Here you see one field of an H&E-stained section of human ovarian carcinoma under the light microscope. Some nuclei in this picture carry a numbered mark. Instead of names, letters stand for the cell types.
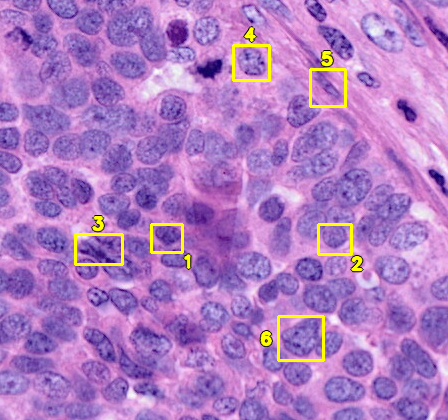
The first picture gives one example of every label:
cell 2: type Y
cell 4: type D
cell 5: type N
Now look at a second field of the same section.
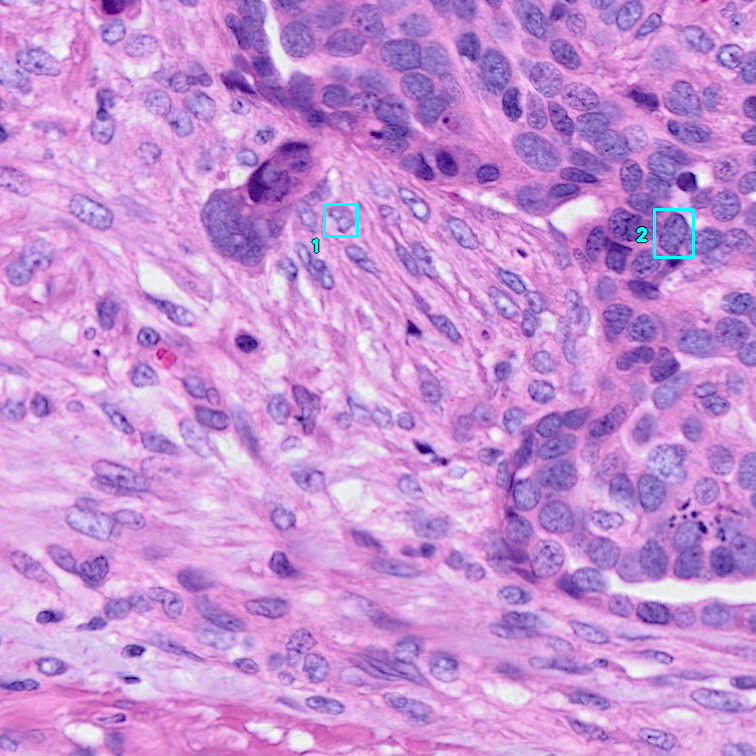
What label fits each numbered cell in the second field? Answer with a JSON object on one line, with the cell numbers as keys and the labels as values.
{"1": "type N", "2": "type Y"}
